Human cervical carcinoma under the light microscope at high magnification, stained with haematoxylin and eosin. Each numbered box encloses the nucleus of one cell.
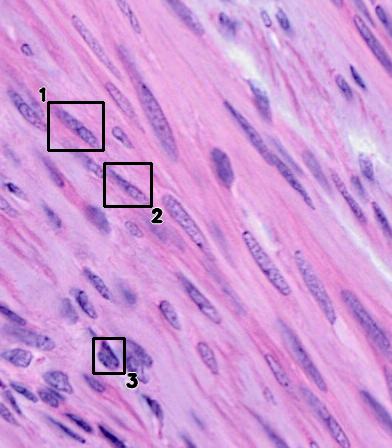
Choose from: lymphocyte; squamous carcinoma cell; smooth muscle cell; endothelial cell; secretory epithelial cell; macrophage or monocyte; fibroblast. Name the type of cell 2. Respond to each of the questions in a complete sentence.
Nucleus 2 in this section belongs to a smooth muscle cell.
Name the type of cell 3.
The cell to which the number 3 is assigned is a lymphocyte.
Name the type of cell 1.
The cell identified by the number 1 is a smooth muscle cell.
